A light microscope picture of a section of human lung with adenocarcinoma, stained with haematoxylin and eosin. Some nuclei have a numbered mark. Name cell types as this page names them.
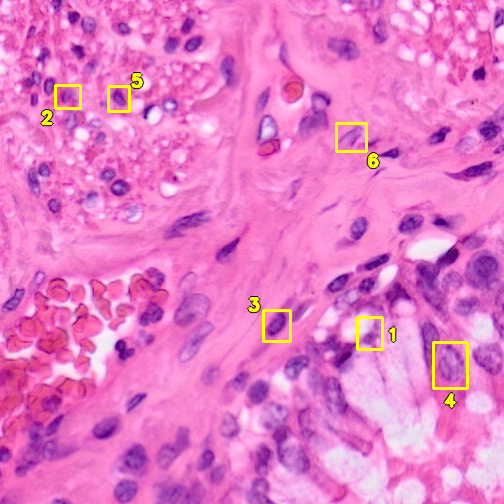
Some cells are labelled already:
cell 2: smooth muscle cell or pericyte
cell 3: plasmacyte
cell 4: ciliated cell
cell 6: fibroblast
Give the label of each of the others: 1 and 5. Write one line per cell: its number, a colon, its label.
1: ciliated cell
5: smooth muscle cell or pericyte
